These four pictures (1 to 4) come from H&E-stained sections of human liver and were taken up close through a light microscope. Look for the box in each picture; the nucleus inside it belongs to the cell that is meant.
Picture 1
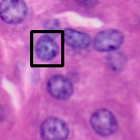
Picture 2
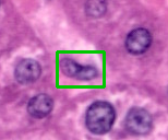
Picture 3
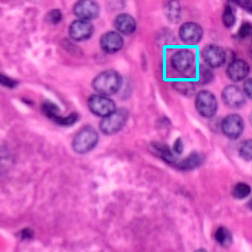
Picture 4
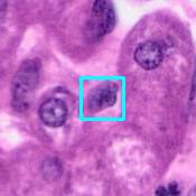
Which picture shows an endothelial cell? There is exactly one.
4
